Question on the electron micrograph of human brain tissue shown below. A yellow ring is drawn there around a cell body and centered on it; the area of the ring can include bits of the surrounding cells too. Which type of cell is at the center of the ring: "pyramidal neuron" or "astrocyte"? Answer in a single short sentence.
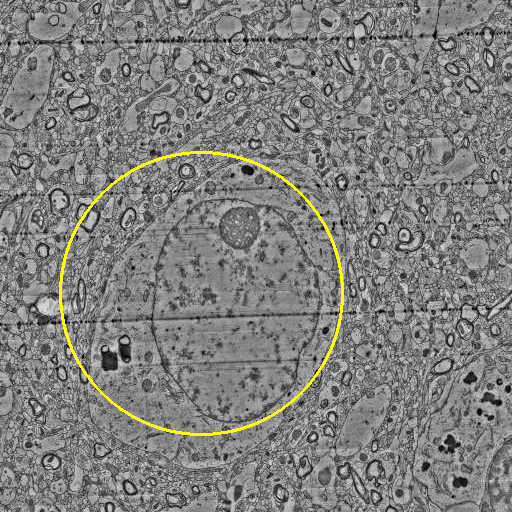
The ring is centered on a pyramidal neuron.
